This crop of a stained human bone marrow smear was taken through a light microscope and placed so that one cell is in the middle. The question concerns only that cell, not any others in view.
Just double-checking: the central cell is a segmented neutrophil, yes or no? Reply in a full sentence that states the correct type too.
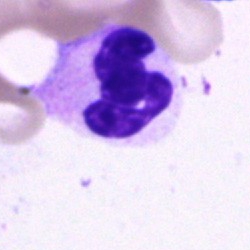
Yes, the cell at the centre of this crop is identified as a segmented neutrophil.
